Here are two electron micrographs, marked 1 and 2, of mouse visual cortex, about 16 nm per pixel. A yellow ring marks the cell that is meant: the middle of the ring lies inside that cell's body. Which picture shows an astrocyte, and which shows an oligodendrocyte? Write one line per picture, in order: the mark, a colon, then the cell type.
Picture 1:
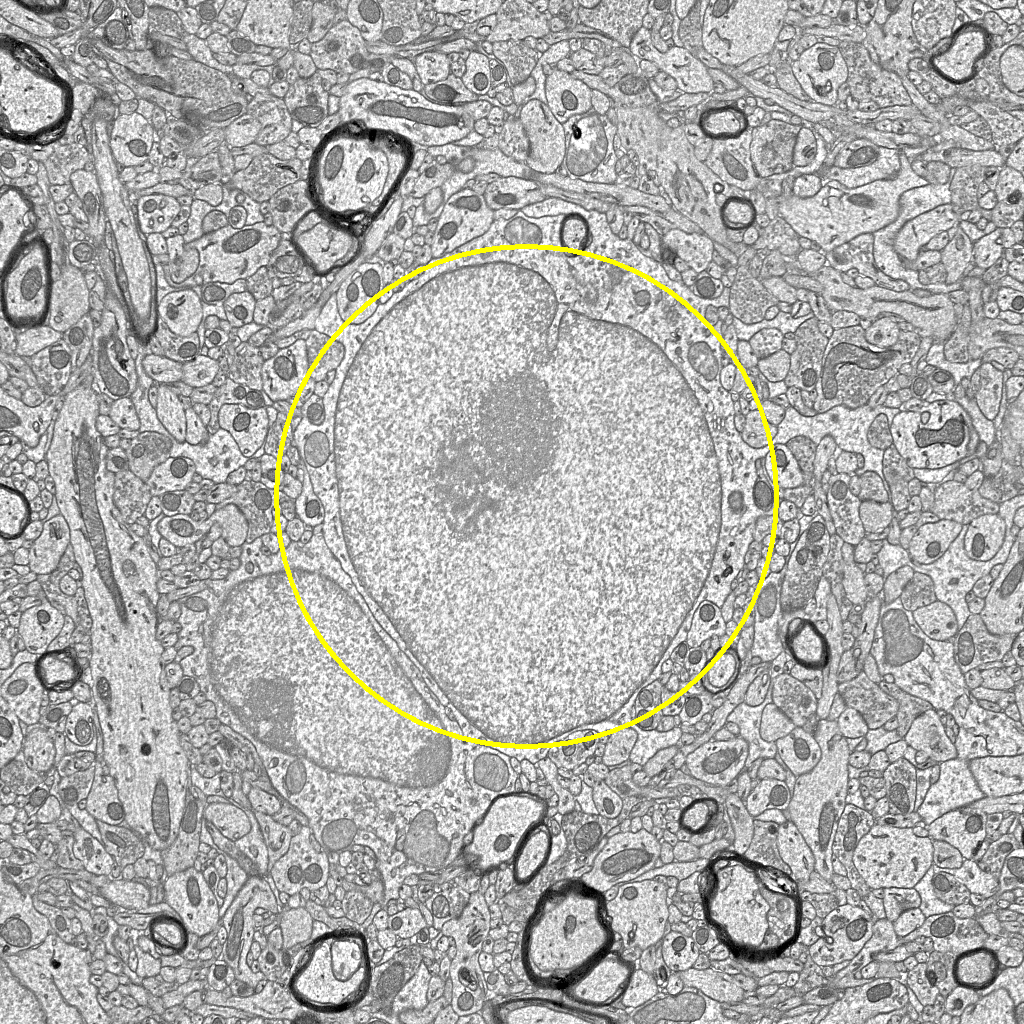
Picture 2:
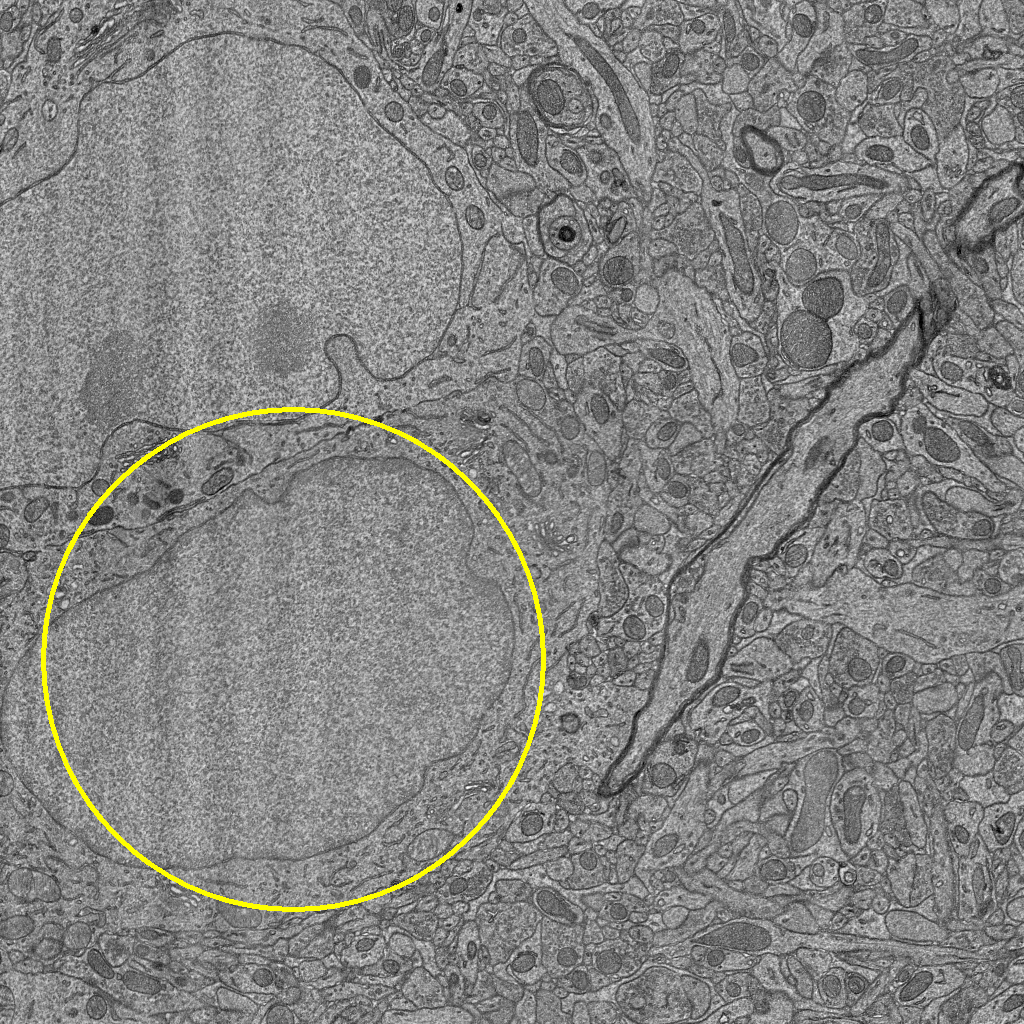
1: astrocyte
2: oligodendrocyte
